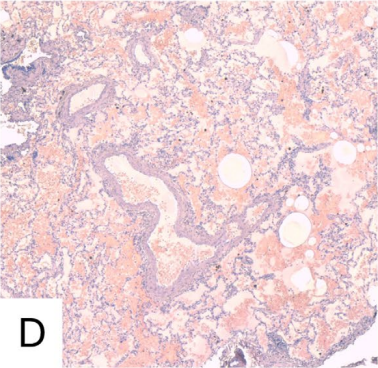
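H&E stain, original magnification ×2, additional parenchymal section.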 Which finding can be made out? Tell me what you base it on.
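Many alveolar spaces are filled with pink-red material. Thin alveolar septa outline the filled spaces. So: recent intra‐alveolar hemorrhage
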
